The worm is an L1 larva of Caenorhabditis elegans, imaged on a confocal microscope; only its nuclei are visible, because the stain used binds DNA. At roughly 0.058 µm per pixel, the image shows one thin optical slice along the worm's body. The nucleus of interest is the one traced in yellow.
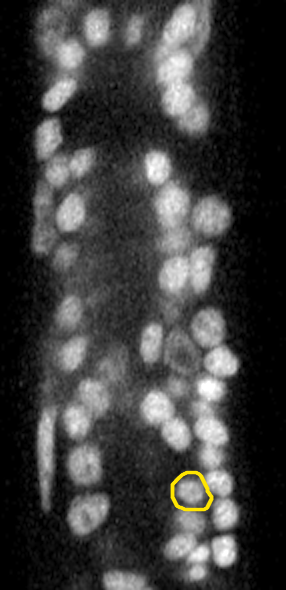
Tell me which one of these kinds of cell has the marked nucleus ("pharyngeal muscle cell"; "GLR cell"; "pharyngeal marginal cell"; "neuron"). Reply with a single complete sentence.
The marked nucleus belongs to a pharyngeal marginal cell.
